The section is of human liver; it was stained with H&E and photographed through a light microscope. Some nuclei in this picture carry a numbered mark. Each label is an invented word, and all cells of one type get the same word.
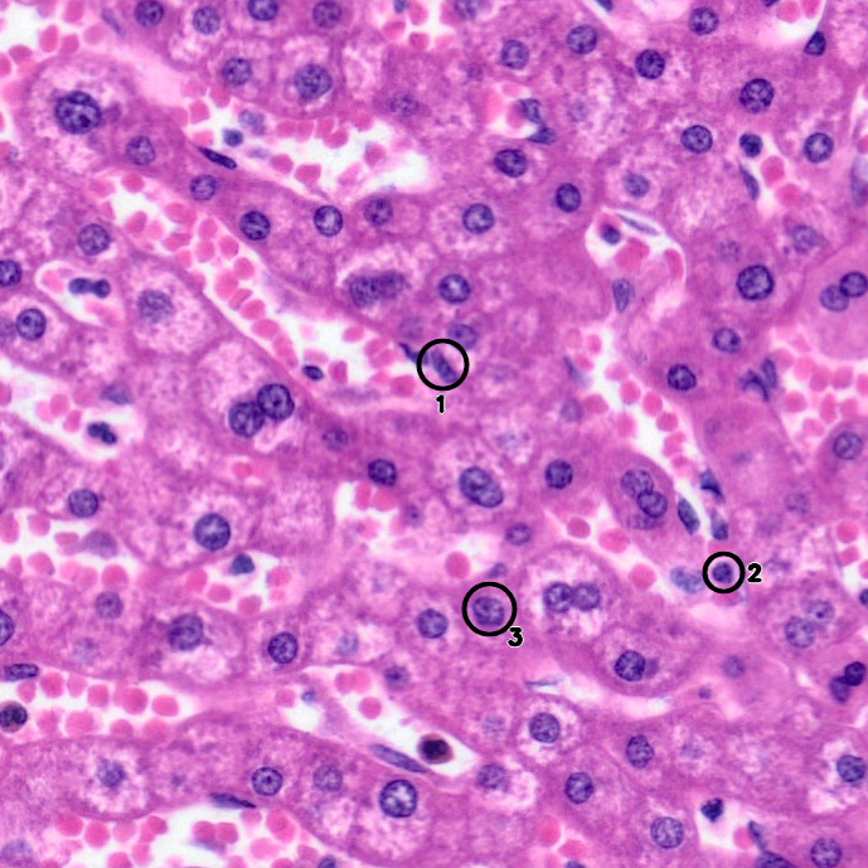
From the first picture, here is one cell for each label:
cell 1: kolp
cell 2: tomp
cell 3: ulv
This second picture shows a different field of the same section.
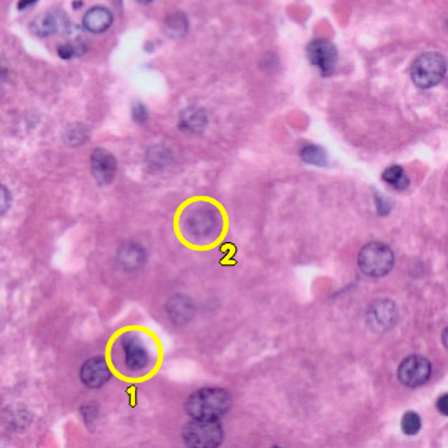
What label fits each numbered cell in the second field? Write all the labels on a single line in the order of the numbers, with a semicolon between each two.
kolp; ulv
